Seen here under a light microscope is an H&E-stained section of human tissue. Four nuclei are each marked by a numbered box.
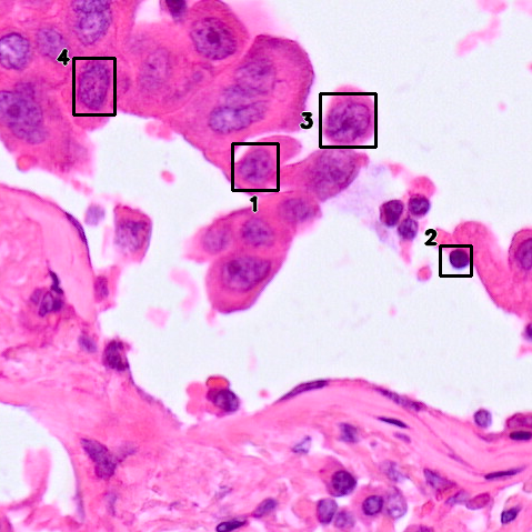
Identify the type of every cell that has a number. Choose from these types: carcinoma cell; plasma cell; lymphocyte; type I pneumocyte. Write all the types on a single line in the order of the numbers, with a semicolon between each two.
carcinoma cell; lymphocyte; carcinoma cell; carcinoma cell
